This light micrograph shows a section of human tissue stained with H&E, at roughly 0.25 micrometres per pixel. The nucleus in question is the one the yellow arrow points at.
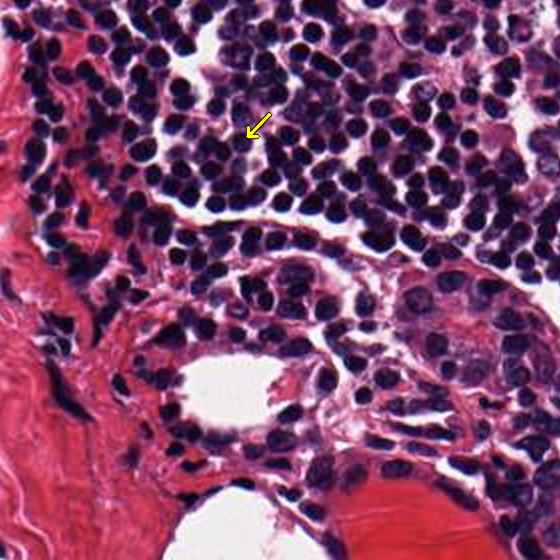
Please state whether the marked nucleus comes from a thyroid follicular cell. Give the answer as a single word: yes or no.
no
